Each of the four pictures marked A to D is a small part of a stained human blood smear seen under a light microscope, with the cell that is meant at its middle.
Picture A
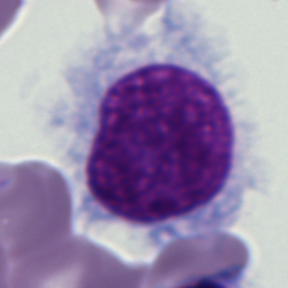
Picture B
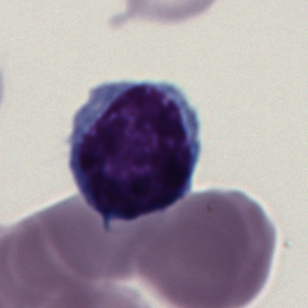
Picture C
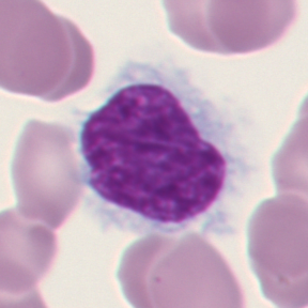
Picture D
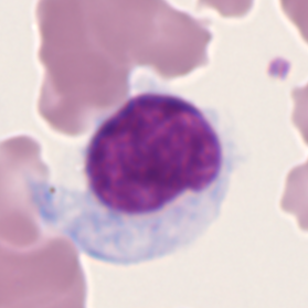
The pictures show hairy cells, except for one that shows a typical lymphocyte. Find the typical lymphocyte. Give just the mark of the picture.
B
